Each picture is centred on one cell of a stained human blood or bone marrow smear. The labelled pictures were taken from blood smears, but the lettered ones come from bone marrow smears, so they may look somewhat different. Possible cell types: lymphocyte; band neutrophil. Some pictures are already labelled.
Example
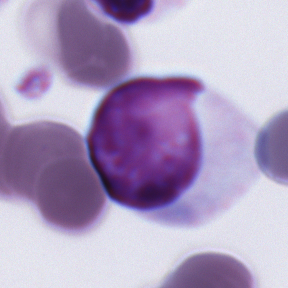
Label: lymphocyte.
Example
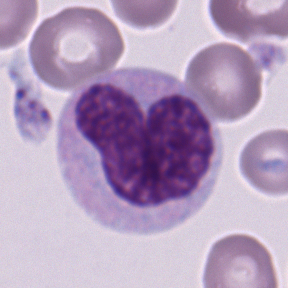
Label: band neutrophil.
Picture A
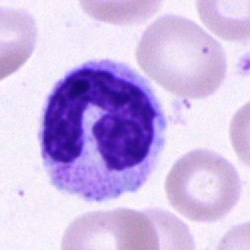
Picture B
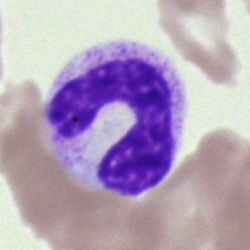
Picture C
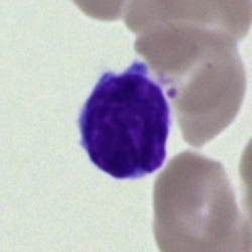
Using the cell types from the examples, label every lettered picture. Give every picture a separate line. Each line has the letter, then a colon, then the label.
A: band neutrophil.
B: band neutrophil.
C: lymphocyte.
